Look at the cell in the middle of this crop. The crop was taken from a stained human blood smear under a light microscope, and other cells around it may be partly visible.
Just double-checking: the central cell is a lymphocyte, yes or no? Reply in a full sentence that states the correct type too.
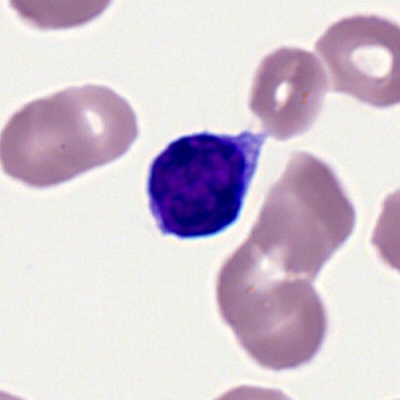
Yes, the cell right in the middle is a lymphocyte.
